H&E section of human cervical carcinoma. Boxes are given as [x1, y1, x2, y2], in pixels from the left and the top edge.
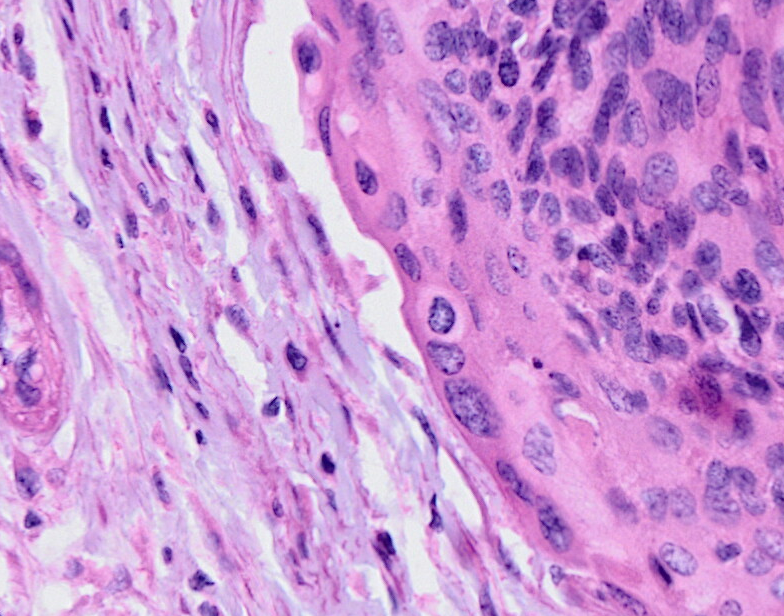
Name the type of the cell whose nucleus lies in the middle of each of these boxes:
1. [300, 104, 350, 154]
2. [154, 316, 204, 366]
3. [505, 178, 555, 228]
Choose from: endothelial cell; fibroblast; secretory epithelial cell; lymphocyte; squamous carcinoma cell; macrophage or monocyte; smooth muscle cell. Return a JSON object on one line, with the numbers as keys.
{"1": "squamous carcinoma cell", "2": "lymphocyte", "3": "squamous carcinoma cell"}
